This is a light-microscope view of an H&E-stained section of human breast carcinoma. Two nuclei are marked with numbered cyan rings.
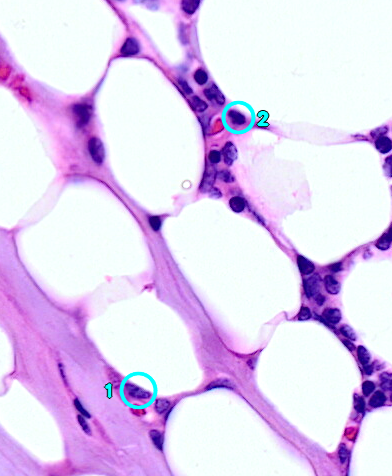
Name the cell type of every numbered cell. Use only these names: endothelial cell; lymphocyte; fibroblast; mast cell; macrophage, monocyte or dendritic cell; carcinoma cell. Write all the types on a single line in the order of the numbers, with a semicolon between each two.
endothelial cell; lymphocyte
